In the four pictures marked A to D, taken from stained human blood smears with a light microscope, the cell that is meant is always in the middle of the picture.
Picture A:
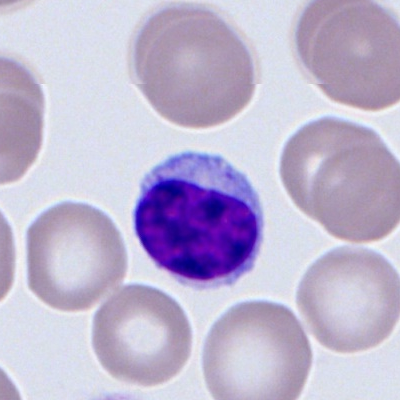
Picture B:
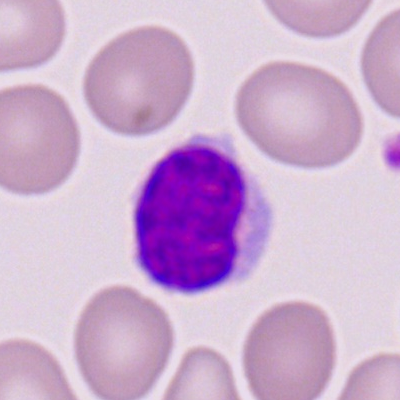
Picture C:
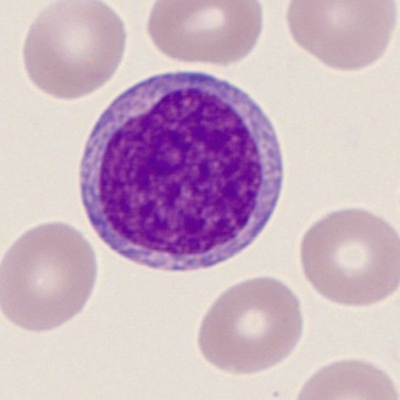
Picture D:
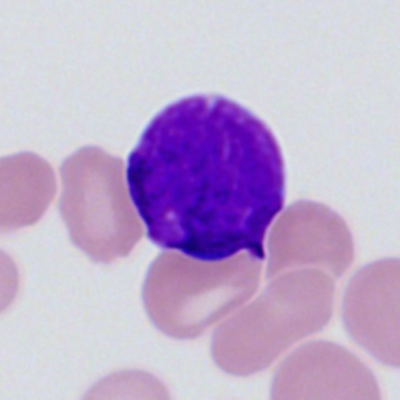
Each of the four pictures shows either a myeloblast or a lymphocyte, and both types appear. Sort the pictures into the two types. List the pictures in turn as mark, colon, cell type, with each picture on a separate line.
A: lymphocyte
B: lymphocyte
C: myeloblast
D: myeloblast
